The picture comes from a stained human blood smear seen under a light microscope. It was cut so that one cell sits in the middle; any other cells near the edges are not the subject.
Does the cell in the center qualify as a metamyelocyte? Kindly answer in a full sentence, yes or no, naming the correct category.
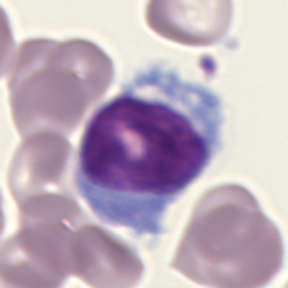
No, the central cell is classed as a monocyte, not a metamyelocyte.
